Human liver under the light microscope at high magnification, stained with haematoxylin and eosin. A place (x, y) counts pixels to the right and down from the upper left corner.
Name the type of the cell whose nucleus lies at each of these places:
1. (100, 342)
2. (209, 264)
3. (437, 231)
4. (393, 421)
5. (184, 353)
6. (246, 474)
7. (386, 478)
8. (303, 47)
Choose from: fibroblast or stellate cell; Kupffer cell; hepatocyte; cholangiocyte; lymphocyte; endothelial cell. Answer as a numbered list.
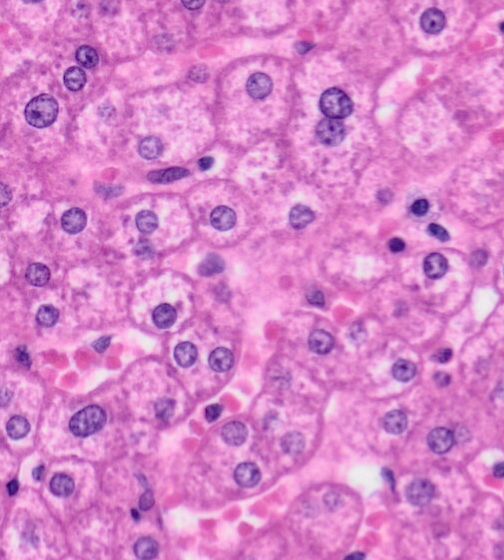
1. lymphocyte
2. endothelial cell
3. lymphocyte
4. hepatocyte
5. hepatocyte
6. hepatocyte
7. endothelial cell
8. endothelial cell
